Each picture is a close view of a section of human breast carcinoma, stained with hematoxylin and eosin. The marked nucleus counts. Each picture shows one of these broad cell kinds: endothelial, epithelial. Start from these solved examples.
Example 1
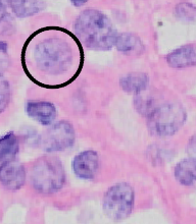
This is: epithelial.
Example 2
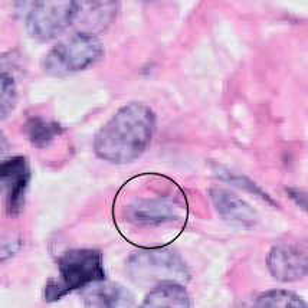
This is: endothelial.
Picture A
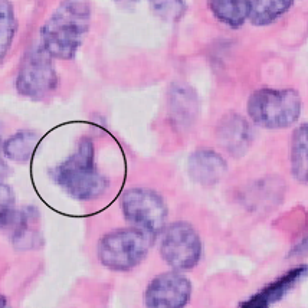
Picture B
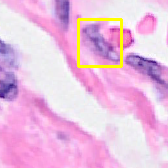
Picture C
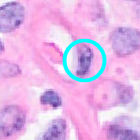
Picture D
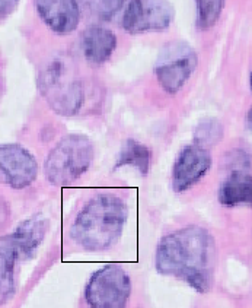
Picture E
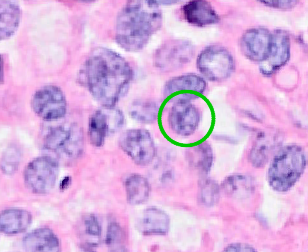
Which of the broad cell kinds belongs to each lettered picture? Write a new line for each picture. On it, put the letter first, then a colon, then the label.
A: epithelial.
B: endothelial.
C: endothelial.
D: epithelial.
E: epithelial.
